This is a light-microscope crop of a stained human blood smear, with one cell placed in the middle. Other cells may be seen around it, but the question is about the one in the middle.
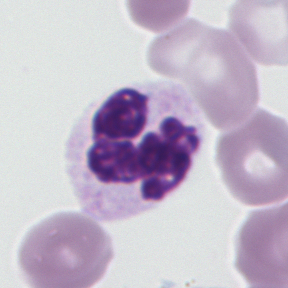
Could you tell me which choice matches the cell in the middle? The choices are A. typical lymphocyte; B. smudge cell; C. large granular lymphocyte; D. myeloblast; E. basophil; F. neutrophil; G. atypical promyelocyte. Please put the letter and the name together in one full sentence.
Identified correctly by option F, the cell in the middle is a neutrophil.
